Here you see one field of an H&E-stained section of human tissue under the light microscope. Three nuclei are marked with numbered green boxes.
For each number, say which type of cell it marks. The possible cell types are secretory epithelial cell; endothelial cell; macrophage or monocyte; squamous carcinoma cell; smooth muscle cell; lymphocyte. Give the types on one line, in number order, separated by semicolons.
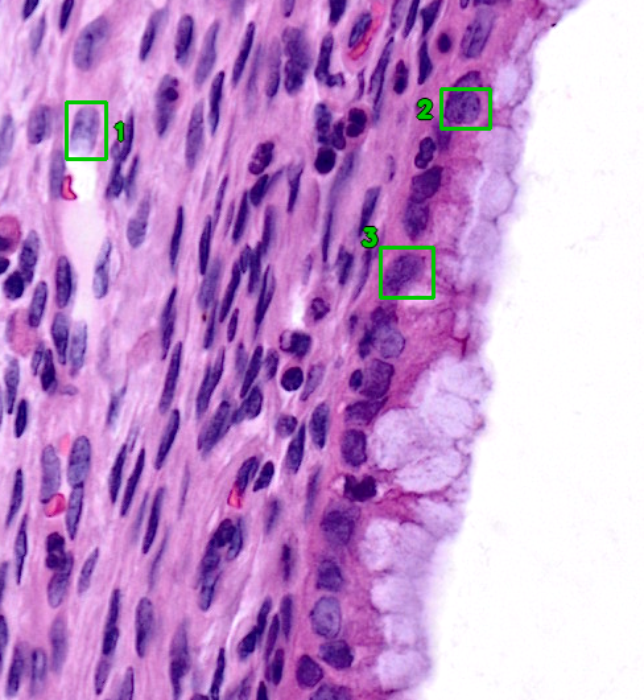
endothelial cell; secretory epithelial cell; secretory epithelial cell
